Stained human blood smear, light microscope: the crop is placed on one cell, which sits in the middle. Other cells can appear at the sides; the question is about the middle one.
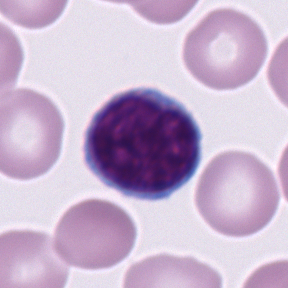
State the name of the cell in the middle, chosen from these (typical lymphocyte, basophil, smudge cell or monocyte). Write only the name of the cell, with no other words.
typical lymphocyte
